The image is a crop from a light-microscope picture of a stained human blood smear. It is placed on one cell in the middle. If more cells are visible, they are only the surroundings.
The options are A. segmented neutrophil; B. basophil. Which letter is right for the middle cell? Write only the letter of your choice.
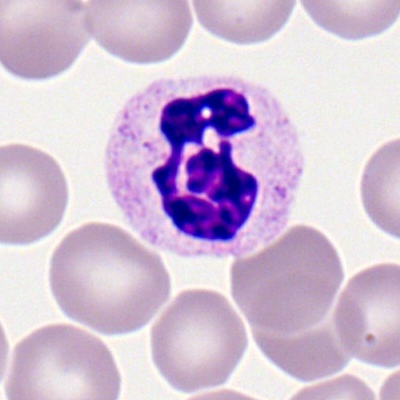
A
